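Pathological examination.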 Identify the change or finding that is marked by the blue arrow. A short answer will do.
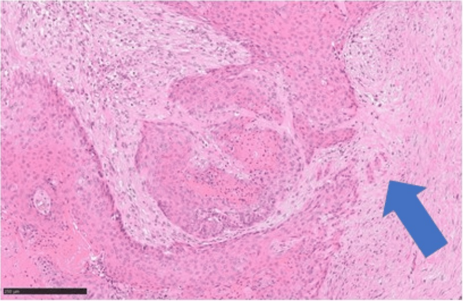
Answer: Intrastromal invasion.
